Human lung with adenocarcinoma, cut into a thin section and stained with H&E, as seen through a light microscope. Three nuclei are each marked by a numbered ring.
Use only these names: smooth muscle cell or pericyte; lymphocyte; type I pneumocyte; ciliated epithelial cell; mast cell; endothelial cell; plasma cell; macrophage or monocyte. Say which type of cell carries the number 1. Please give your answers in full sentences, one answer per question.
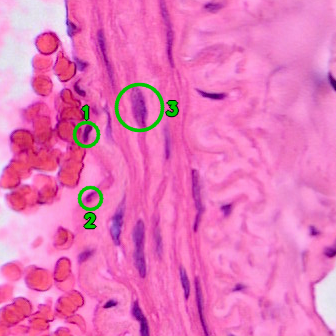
That cell with number 1 is an endothelial cell.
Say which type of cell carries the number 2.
The cell bearing label 2 corresponds to an endothelial cell.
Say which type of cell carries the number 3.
The nucleus with number 3 is that of a smooth muscle cell or pericyte.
